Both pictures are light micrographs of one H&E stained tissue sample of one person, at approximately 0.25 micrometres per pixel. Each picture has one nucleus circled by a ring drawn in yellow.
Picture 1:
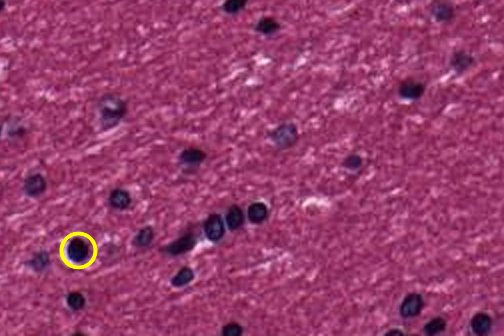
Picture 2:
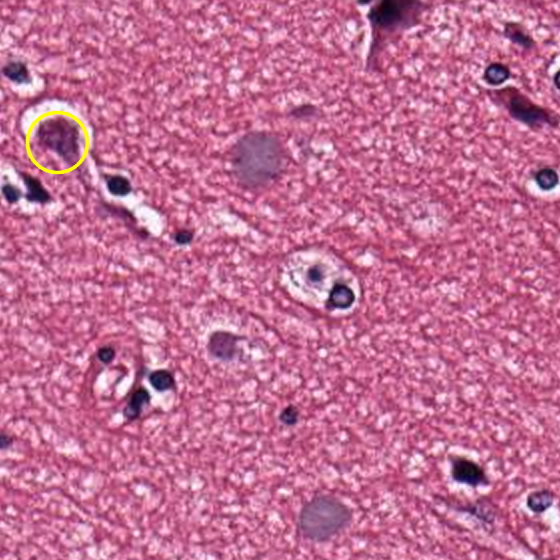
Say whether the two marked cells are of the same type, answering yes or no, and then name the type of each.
No, the first is an oligodendrocyte and the second a neuron.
